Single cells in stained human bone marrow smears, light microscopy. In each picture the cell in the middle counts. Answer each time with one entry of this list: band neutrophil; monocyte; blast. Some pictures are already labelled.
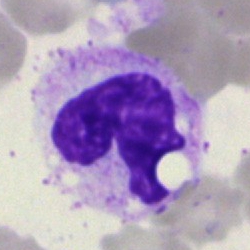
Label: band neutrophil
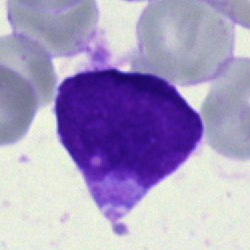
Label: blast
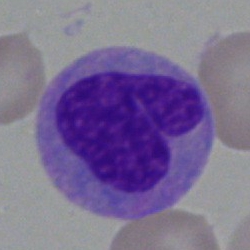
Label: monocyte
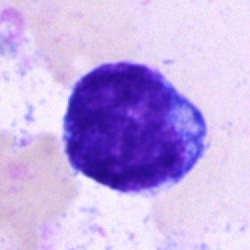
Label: blast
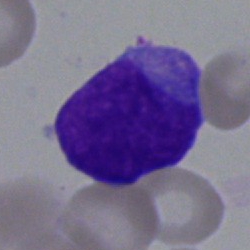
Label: blast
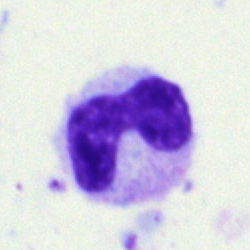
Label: band neutrophil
